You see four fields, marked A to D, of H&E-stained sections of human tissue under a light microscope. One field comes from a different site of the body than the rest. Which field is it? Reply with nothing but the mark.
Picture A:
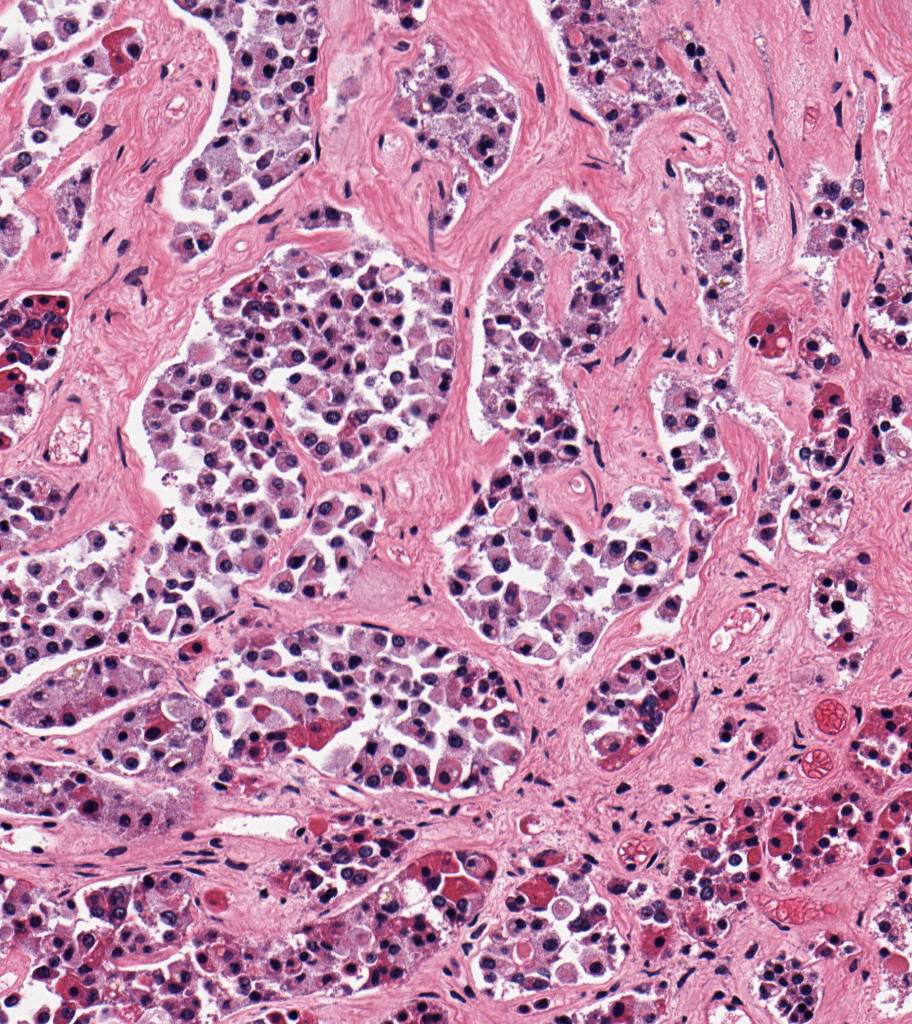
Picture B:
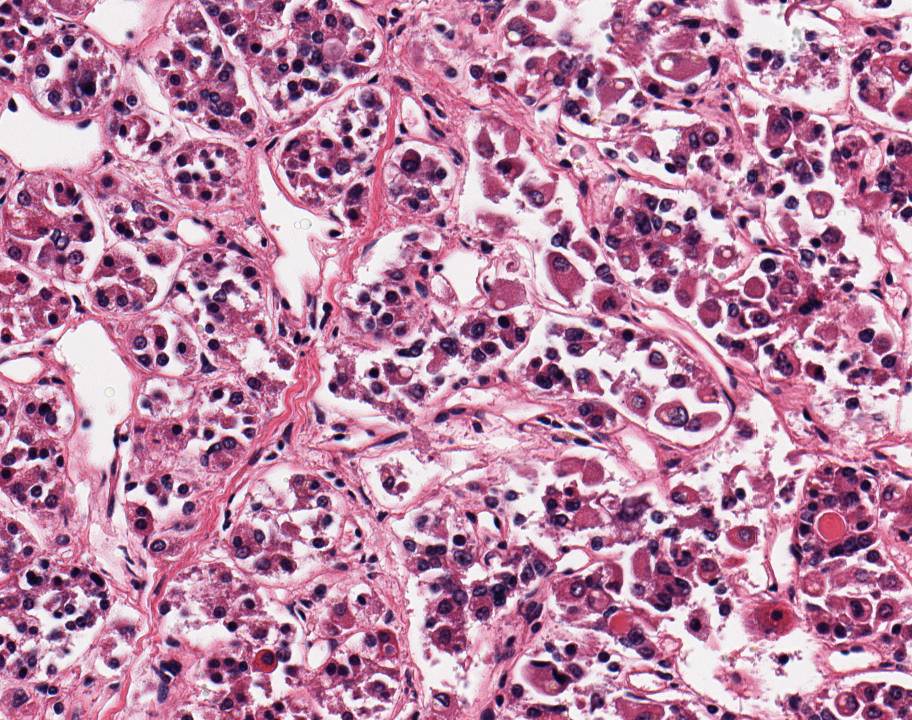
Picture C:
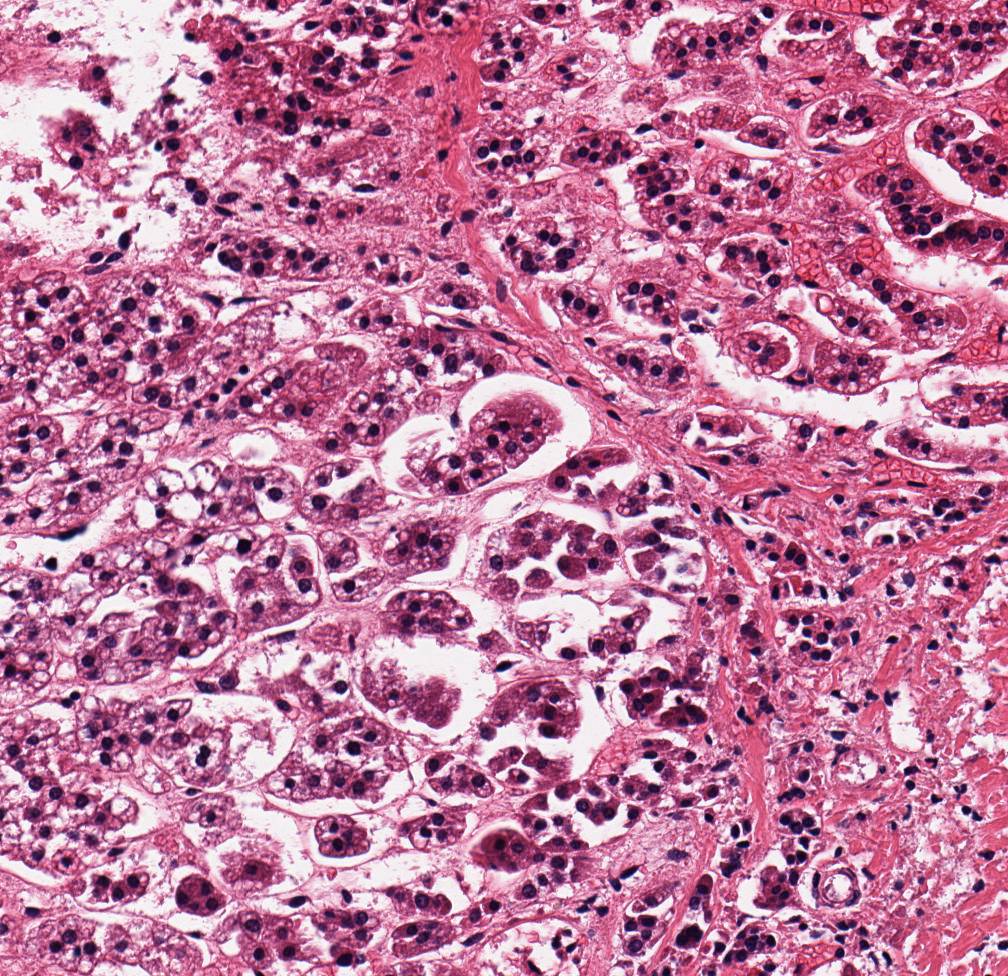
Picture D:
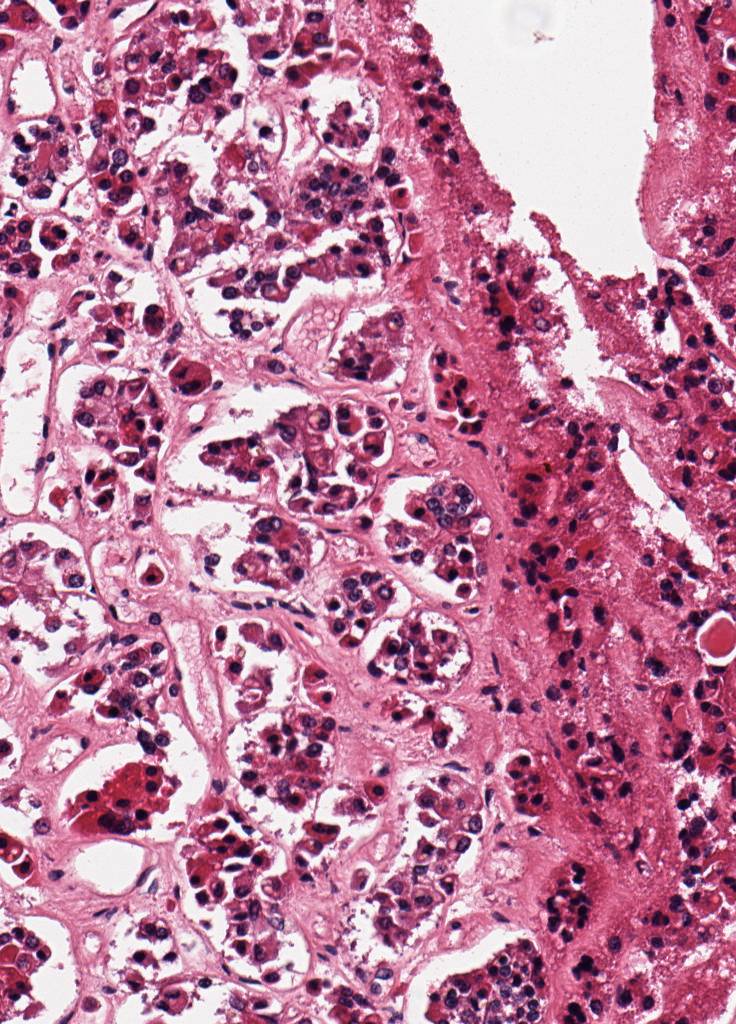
C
